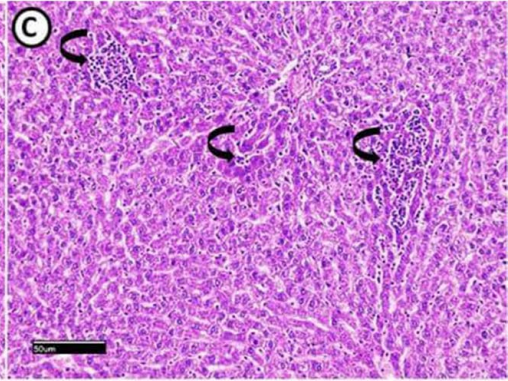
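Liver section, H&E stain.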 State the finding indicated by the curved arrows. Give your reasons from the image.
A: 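Dense clusters of small dark round nuclei lie among the hepatocyte plates. The answer: inflammatory infiltration.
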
